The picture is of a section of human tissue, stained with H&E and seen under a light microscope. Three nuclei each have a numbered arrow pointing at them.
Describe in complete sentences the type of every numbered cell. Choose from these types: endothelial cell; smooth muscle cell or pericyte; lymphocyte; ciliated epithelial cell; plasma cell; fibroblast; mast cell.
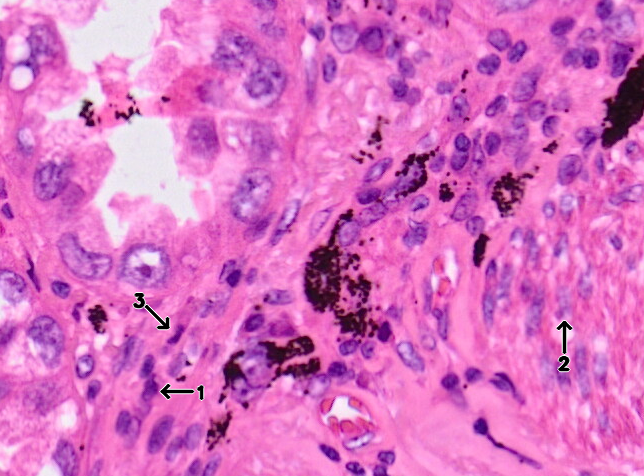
Cell 1 is a plasma cell, cell 2 is a smooth muscle cell or pericyte and cell 3 is a plasma cell.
